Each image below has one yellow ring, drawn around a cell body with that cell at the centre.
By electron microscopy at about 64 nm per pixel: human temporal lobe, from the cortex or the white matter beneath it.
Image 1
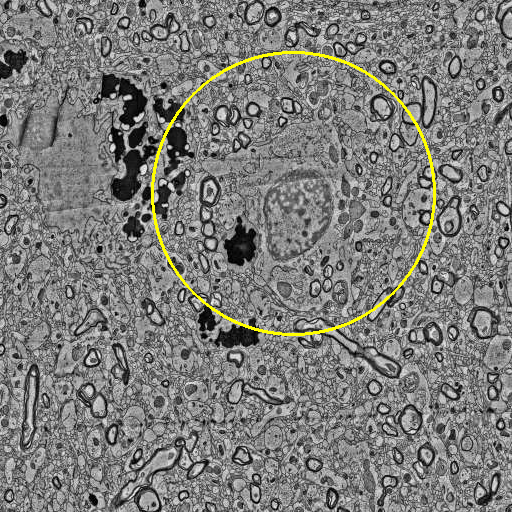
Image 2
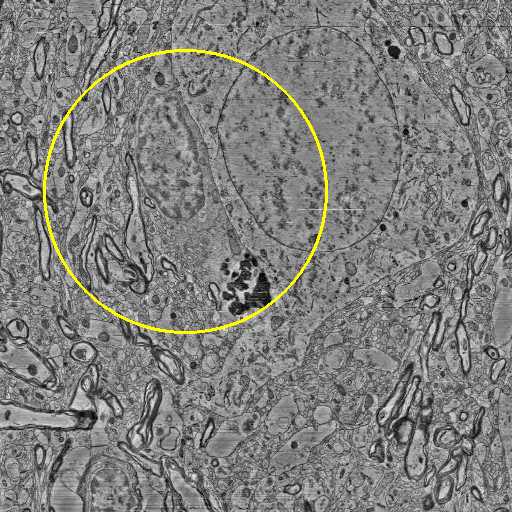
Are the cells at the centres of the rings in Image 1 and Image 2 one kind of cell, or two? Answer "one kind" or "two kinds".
one kind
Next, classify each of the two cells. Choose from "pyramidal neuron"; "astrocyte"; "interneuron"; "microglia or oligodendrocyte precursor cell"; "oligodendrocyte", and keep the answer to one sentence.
Both pictures show an oligodendrocyte at the centre of the ring.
